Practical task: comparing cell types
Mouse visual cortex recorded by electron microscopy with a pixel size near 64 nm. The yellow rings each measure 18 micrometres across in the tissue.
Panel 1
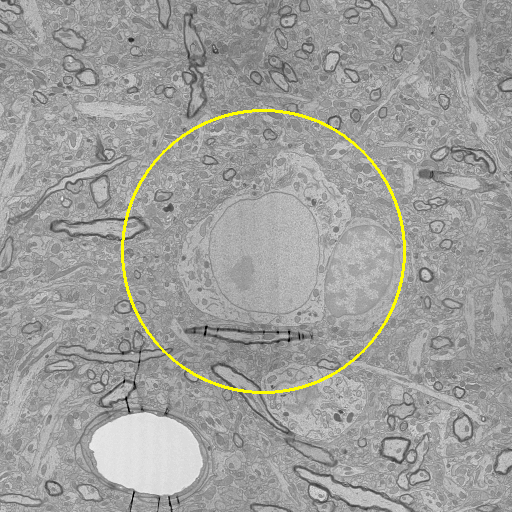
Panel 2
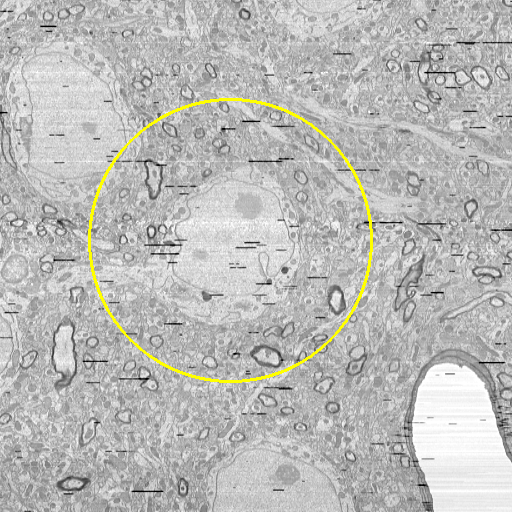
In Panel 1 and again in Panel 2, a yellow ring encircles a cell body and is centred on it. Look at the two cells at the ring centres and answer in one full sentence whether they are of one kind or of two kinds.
The two cells sitting at the ring centres of Panels 1 and 2 are of one kind.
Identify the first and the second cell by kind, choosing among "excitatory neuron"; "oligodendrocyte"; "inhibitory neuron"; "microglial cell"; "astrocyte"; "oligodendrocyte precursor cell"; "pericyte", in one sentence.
Both the first and the second picture show an excitatory neuron in the ring.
